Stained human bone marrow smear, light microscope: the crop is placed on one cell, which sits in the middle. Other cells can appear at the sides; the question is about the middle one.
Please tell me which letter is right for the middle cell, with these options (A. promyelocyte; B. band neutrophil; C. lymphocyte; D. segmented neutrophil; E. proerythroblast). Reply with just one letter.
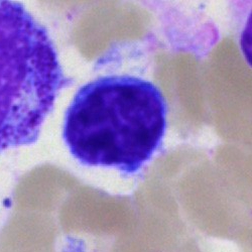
C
